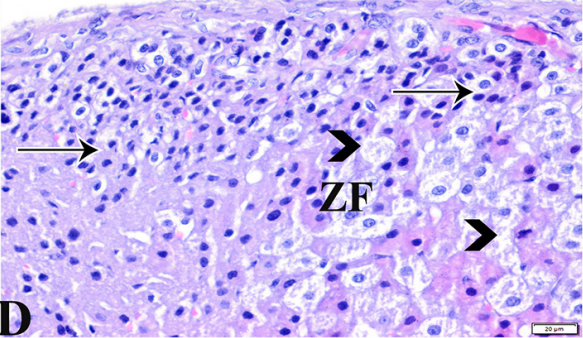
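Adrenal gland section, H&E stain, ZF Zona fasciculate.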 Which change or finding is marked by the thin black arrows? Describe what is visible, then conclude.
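Pyknotic cellular nuclei. The arrows point to small, condensed, very dark nuclei. The marked nuclei are crowded among cells with pale cytoplasm.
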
